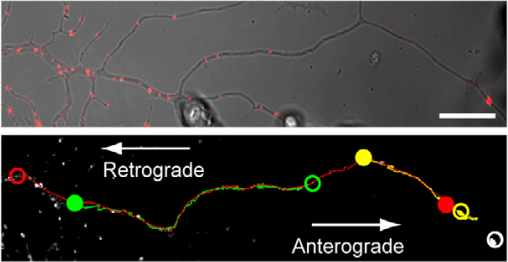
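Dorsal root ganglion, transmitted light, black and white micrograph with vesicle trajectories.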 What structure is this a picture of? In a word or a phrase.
Neuronal processes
